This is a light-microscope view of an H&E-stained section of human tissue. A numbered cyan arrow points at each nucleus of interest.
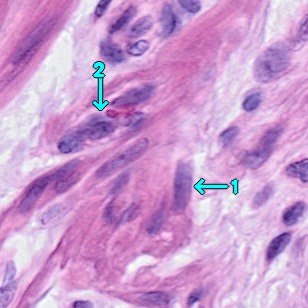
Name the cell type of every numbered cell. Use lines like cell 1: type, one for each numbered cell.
cell 1: smooth muscle cell
cell 2: endothelial cell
